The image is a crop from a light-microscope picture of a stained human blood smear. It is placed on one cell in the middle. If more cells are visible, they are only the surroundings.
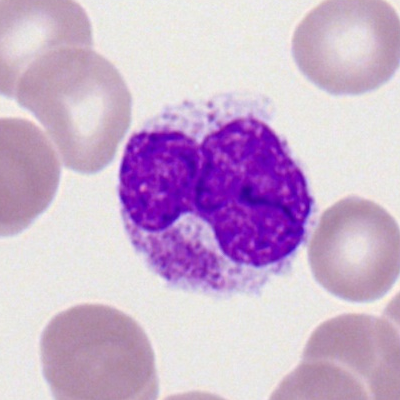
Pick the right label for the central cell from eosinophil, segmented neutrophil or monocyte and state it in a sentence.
Centrally within this crop lies an eosinophil.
